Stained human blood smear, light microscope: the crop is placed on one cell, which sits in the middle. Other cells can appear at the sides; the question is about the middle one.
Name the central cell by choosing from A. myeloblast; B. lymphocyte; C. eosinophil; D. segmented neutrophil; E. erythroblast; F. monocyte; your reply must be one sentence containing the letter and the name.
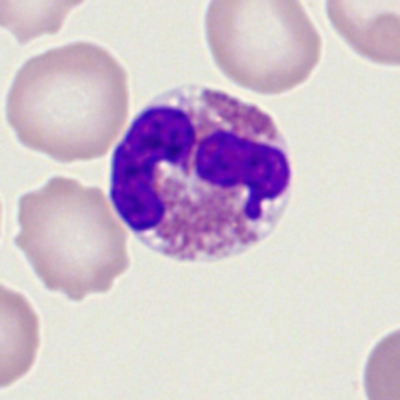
The middle of the crop holds an eosinophil, which points to option C.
